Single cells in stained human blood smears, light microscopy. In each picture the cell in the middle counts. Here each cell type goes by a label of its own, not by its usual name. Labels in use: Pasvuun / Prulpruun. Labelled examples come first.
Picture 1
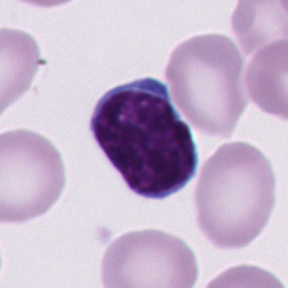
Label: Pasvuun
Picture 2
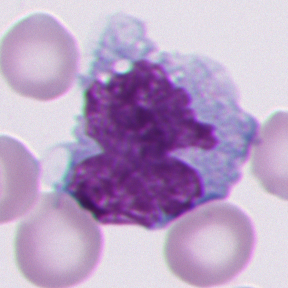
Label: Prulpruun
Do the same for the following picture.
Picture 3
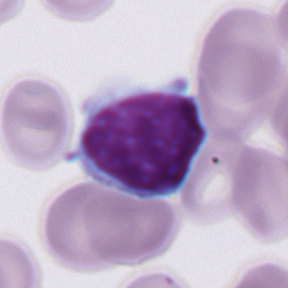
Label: Pasvuun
